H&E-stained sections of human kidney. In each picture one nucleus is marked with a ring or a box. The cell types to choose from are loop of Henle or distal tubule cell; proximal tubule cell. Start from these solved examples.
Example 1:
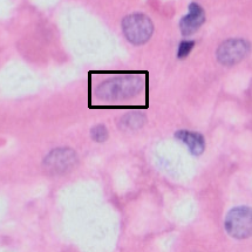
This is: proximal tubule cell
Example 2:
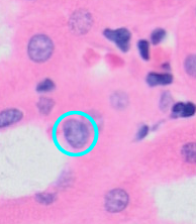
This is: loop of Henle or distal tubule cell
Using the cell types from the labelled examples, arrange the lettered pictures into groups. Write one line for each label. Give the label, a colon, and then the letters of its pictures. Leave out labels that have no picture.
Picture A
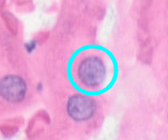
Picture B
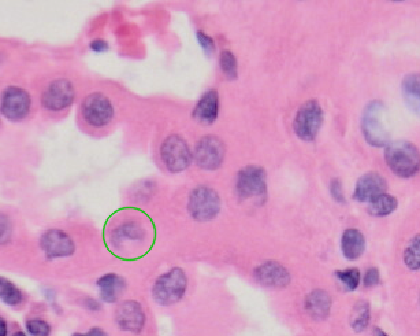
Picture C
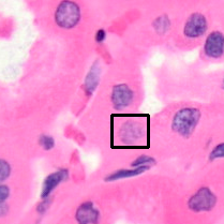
loop of Henle or distal tubule cell: B, C
proximal tubule cell: A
